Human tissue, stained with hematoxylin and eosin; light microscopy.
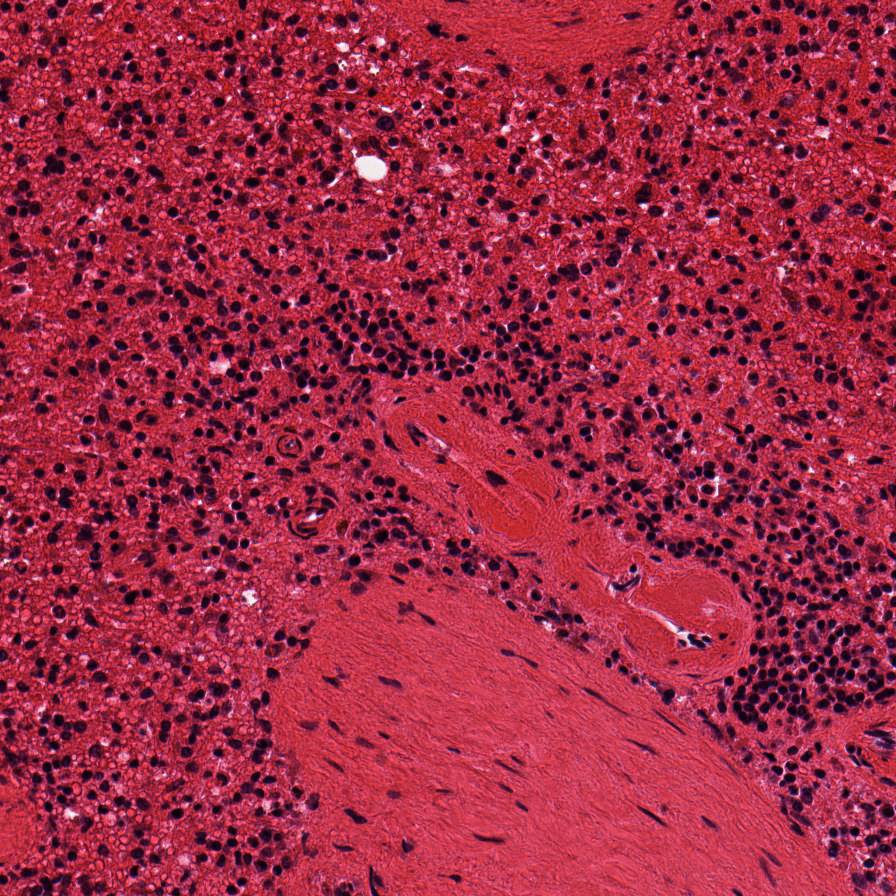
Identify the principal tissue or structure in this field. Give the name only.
red pulp of the spleen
